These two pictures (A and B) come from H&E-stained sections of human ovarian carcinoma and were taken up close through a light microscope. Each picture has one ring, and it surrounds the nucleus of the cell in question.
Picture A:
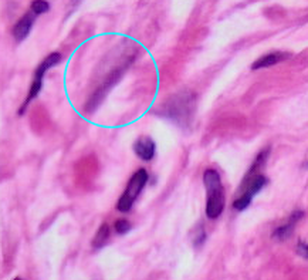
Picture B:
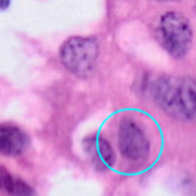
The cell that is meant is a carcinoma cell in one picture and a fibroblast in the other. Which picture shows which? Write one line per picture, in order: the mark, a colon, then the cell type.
A: fibroblast
B: carcinoma cell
